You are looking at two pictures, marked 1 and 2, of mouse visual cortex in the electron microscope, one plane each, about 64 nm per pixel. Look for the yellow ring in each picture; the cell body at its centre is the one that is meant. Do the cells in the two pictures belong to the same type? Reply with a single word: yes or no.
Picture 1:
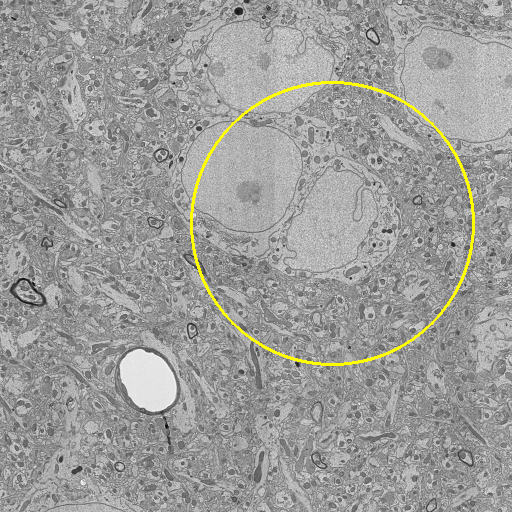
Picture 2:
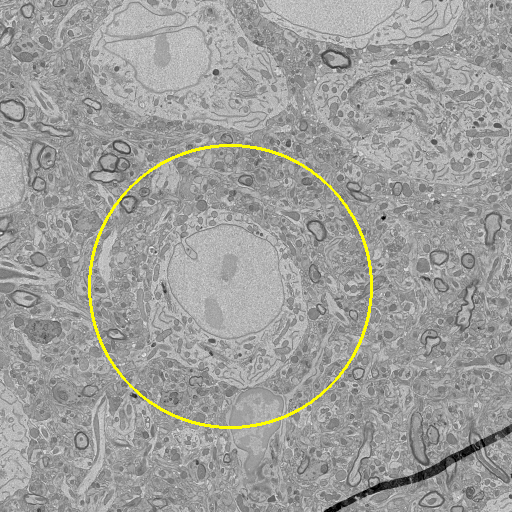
yes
